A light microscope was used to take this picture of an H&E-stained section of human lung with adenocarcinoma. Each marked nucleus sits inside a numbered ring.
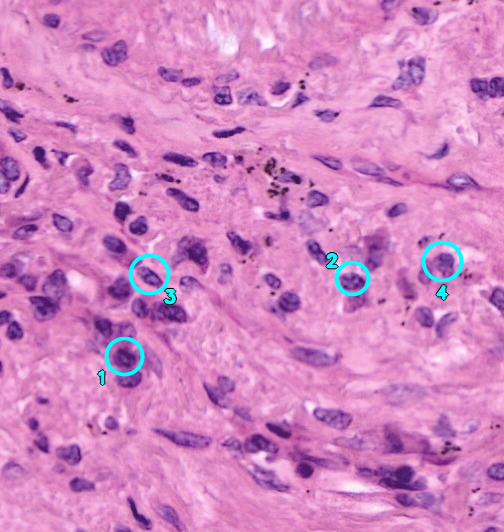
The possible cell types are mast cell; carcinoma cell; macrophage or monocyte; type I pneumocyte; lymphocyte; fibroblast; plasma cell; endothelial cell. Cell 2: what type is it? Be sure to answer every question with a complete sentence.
The marked nucleus 2 is that of a lymphocyte.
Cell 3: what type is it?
The cell indicated with the number 3 is classed as a mast cell.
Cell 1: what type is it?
The correct answer for cell 1 is a plasma cell.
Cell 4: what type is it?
The cell carrying label 4 is identified as a lymphocyte.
